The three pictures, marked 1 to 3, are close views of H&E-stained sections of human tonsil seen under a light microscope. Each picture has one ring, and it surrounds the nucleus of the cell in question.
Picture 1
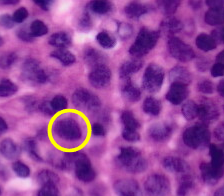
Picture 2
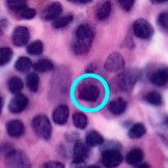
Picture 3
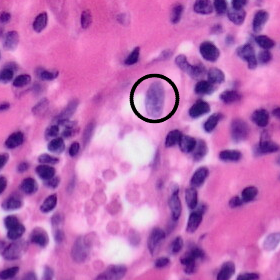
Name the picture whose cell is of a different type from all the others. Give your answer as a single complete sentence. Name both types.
All pictures except 1 show endothelial cells; picture 1 shows a squamous epithelial cell.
